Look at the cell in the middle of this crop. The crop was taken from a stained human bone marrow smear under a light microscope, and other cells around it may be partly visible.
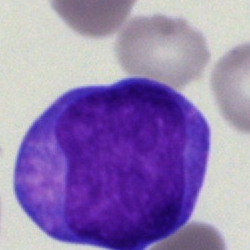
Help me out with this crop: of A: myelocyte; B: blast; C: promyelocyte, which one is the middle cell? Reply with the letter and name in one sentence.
The cell in the middle is a blast, so option B is correct.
